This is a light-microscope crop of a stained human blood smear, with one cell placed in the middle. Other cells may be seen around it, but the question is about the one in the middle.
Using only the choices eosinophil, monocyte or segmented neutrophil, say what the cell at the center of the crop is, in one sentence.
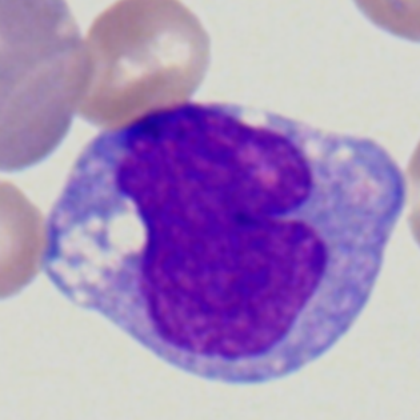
The cell in the middle of this crop is a monocyte.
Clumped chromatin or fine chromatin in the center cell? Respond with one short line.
The chromatin shows a fine pattern without coarse clumps.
